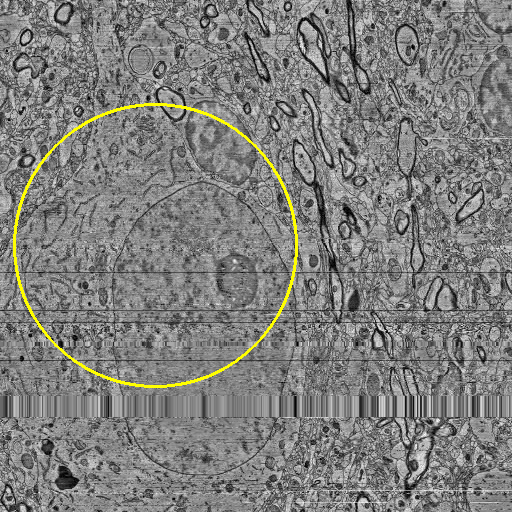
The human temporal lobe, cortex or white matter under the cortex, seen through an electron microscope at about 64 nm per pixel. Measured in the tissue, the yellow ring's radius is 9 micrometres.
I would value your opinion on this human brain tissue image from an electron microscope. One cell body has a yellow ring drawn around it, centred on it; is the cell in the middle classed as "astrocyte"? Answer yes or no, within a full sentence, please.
No, I would class the cell in the middle of the ring as a different kind.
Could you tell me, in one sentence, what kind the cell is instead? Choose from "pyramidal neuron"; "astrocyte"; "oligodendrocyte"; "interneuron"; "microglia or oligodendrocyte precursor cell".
The cell at the ring centre is a pyramidal neuron.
